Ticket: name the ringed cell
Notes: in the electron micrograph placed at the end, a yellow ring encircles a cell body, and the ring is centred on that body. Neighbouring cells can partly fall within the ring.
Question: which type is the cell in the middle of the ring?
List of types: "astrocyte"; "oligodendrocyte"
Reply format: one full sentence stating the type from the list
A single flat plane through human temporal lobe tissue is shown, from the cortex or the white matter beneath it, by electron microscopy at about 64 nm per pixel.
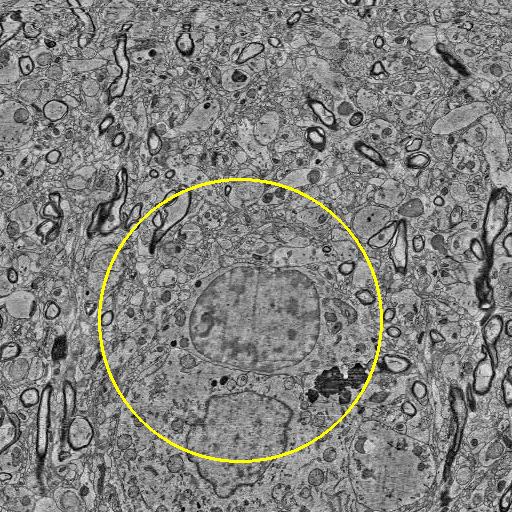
The cell sitting at the centre of the yellow ring is an oligodendrocyte.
